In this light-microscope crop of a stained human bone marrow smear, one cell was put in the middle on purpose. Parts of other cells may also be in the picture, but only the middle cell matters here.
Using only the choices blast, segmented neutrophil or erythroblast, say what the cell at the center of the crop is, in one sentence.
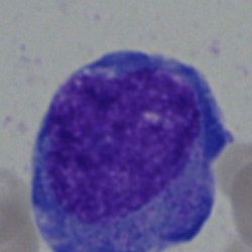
As for the cell in the middle, it is a blast.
